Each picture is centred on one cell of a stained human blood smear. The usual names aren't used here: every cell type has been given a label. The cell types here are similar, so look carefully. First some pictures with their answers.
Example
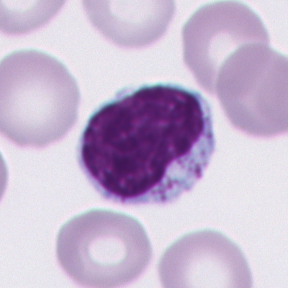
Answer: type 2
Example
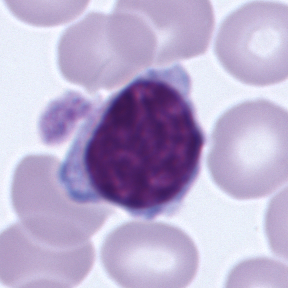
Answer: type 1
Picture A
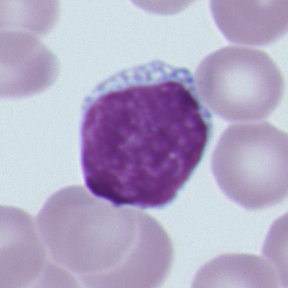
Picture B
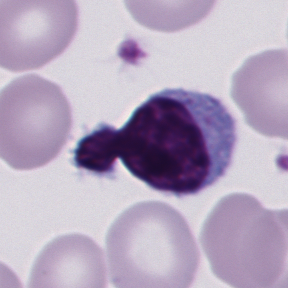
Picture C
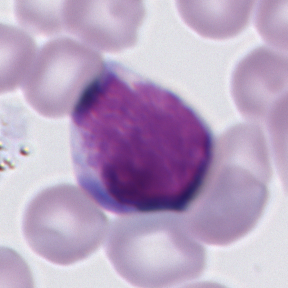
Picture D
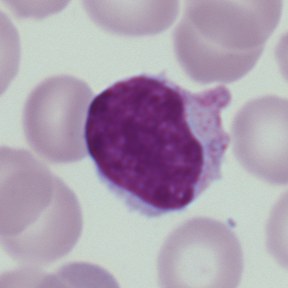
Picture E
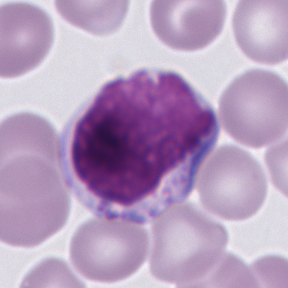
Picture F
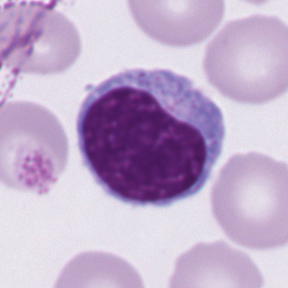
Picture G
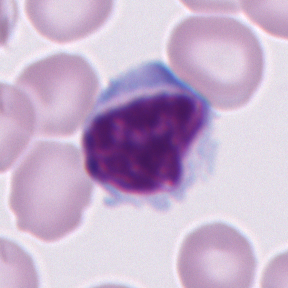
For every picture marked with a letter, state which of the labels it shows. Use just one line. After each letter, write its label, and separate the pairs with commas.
A type 1, B type 1, C type 2, D type 1, E type 2, F type 1, G type 1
